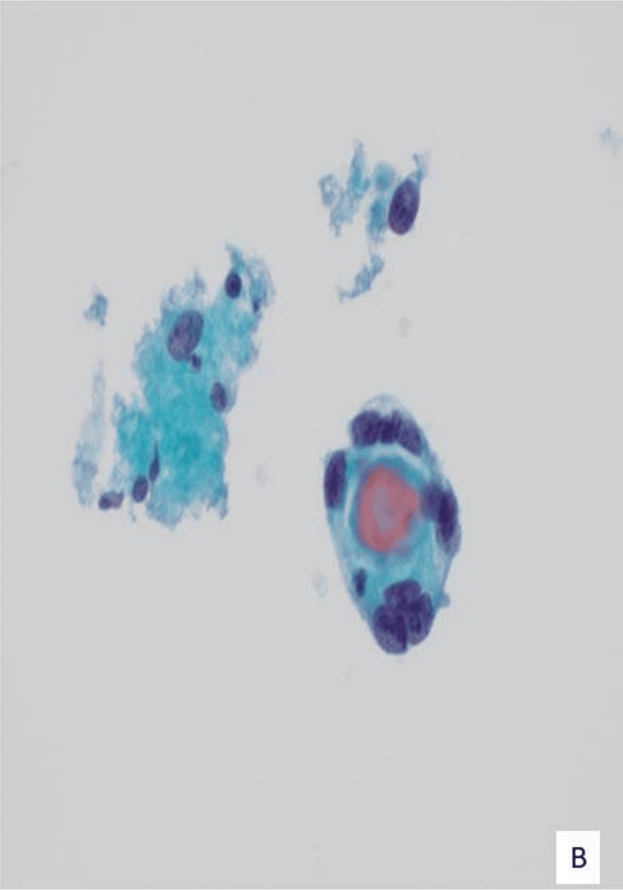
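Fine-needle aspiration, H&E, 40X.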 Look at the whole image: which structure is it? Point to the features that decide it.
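A small group of cells forms a ring around a central pink-orange globule. Nuclei sit at the periphery of the small rounded structure.
Answer: microfollicular pattern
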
